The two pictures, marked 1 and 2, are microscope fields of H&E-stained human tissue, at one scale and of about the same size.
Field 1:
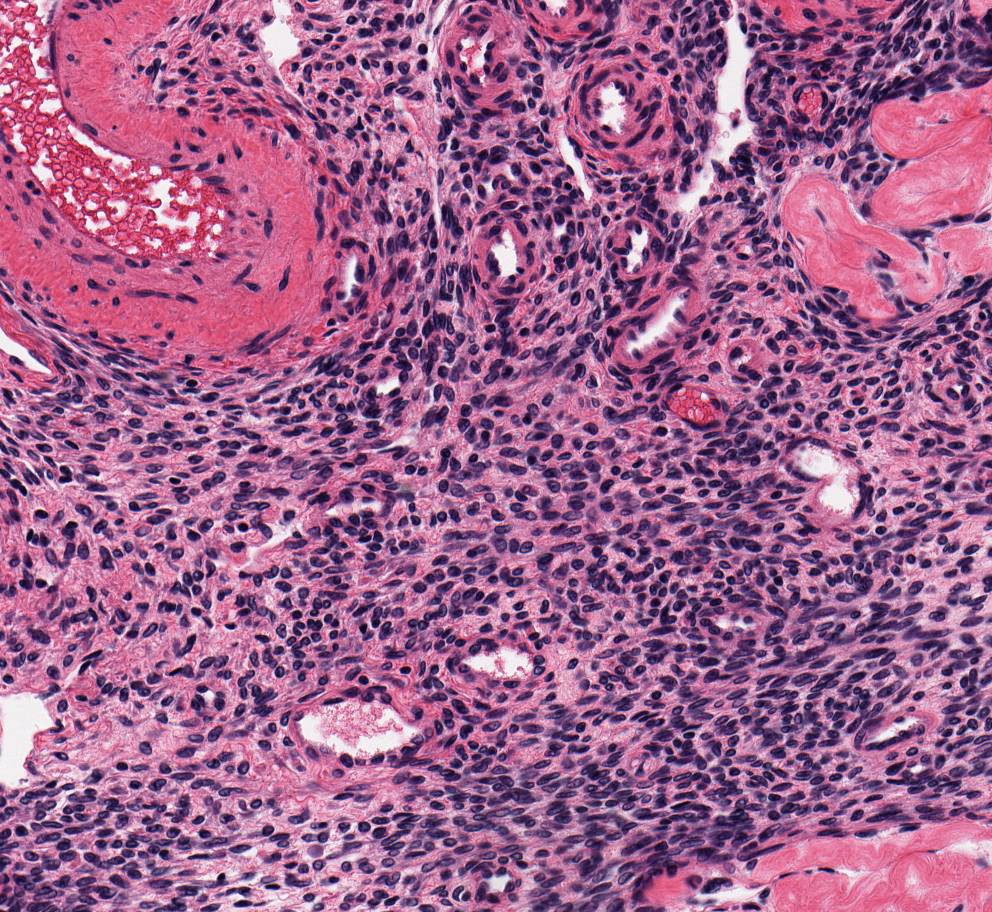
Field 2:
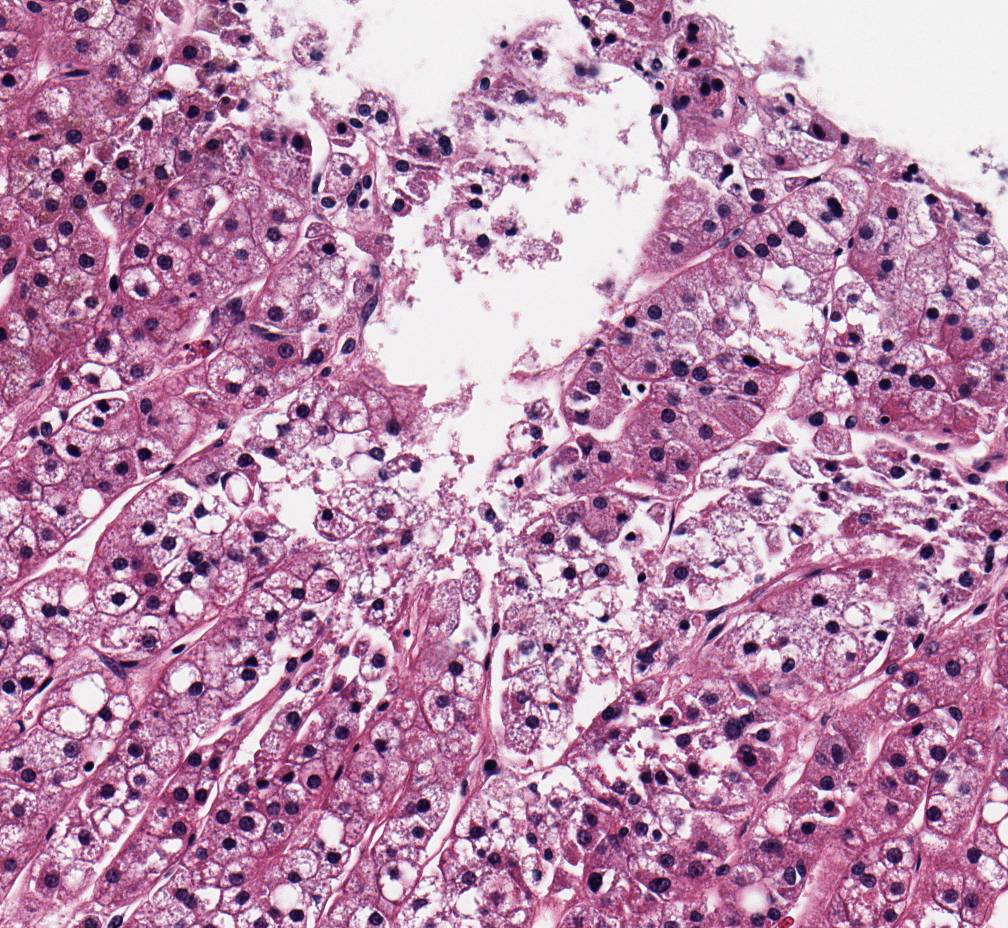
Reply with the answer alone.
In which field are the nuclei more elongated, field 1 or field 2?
1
